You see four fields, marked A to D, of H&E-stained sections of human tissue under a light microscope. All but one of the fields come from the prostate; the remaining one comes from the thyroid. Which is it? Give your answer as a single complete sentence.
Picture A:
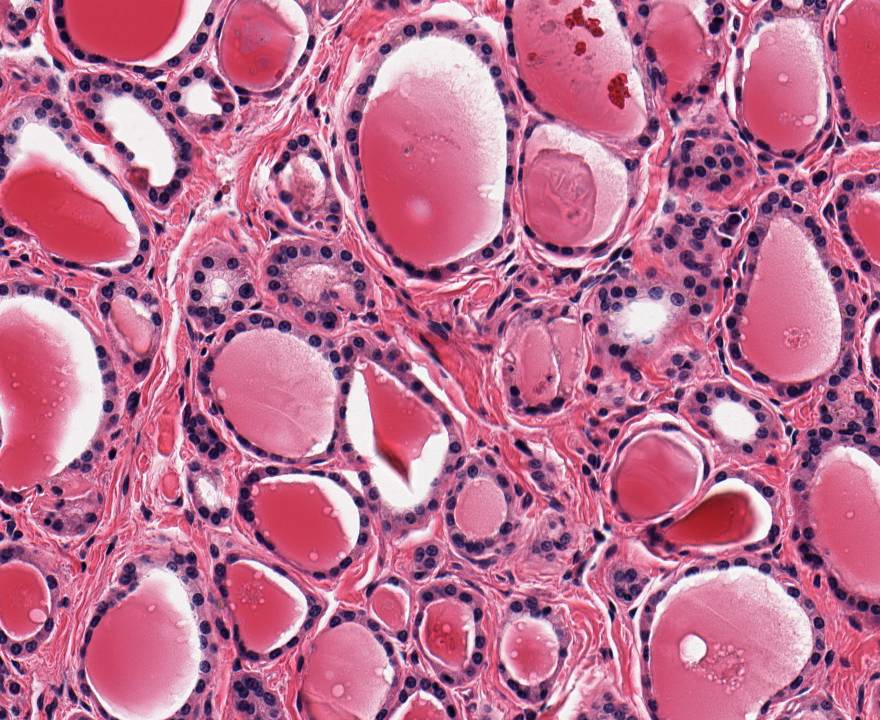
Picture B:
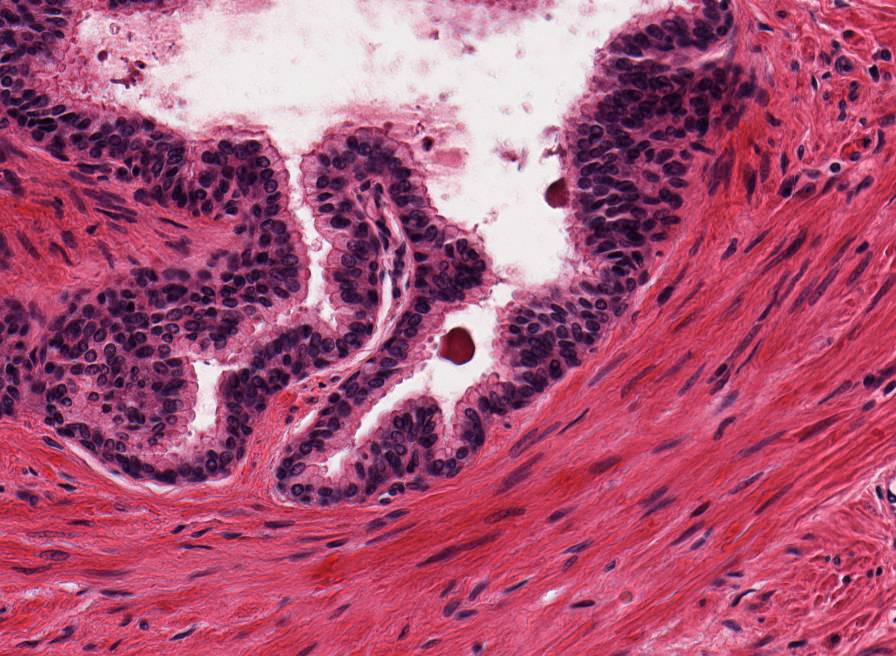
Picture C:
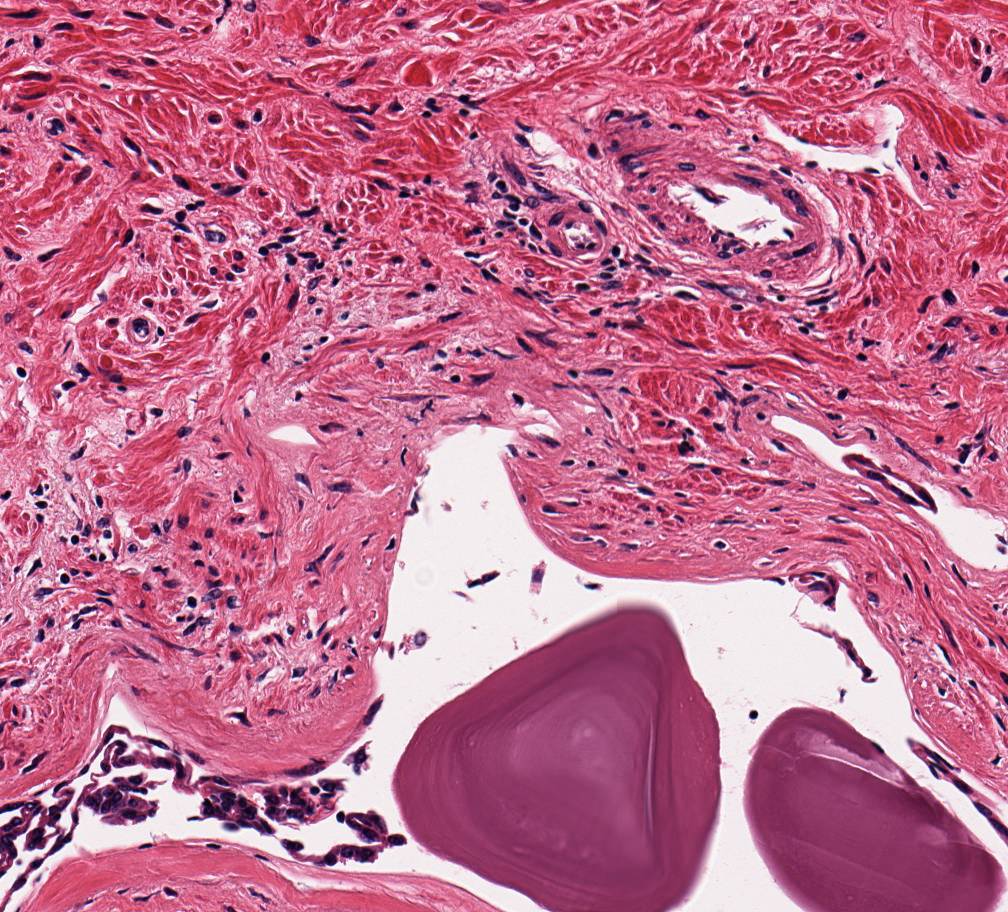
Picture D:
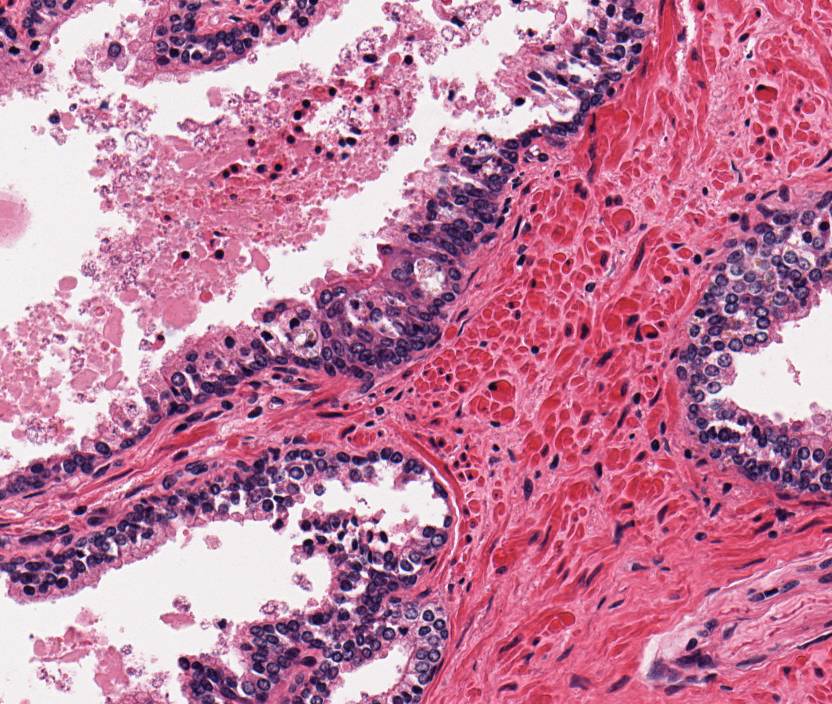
The one that comes from the thyroid is picture A.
